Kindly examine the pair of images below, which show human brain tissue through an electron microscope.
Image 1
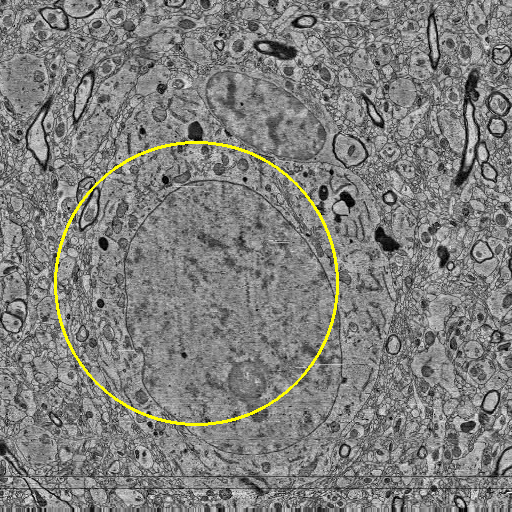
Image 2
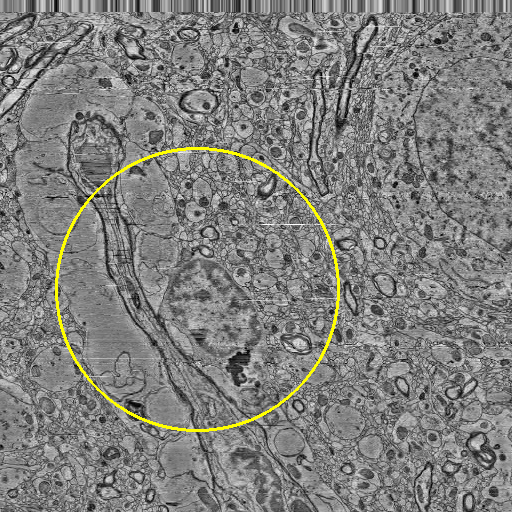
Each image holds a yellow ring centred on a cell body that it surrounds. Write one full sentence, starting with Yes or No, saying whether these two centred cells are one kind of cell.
No, the cells at the centres of the yellow rings belong to two kinds of cell.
